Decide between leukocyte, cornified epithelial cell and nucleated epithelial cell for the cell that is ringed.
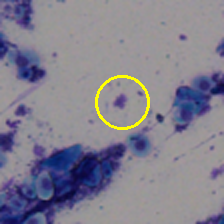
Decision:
I take the ringed cell for a leukocyte.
